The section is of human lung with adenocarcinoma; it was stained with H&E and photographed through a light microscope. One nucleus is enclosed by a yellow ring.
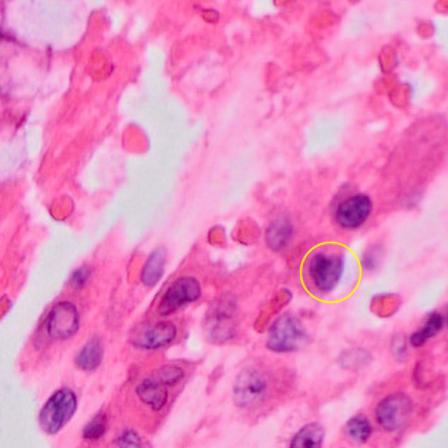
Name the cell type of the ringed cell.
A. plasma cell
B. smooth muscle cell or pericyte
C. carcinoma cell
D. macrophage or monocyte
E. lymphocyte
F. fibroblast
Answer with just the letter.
D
